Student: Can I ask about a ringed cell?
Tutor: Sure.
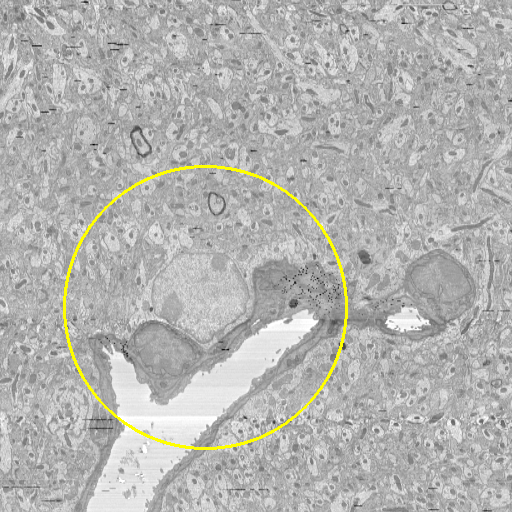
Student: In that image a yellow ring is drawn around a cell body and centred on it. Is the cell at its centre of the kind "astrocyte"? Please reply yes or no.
Yes, the cell is of that kind.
